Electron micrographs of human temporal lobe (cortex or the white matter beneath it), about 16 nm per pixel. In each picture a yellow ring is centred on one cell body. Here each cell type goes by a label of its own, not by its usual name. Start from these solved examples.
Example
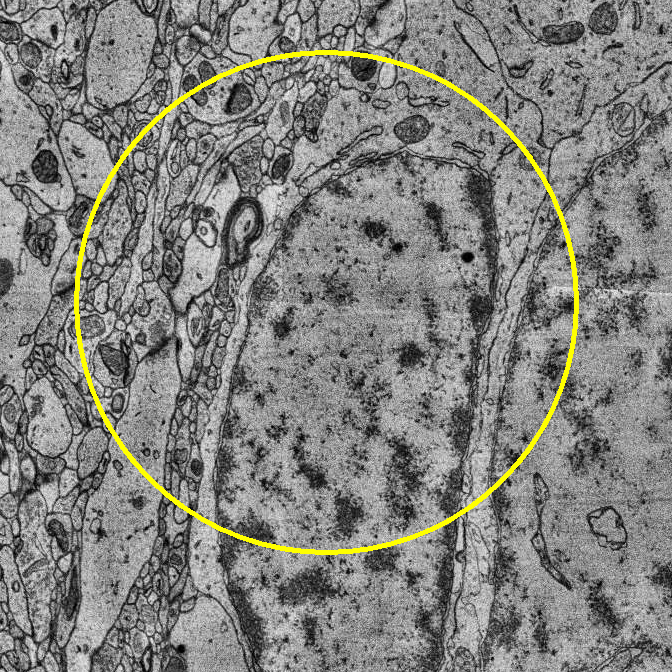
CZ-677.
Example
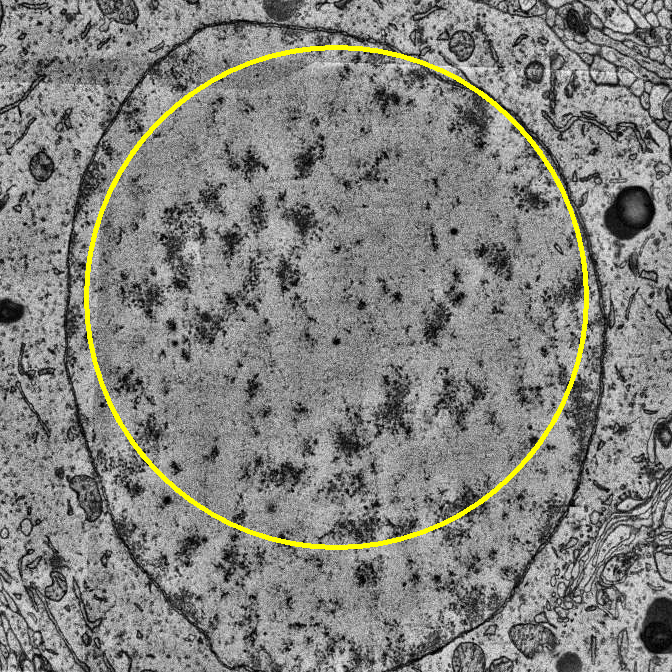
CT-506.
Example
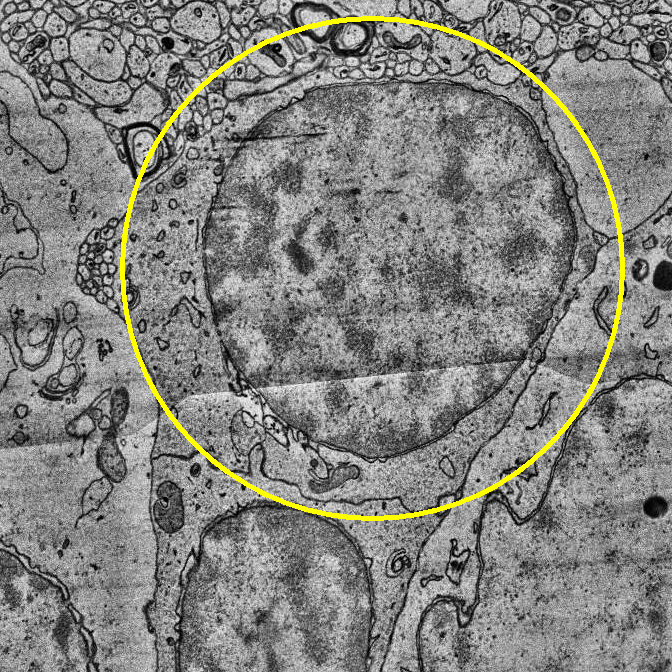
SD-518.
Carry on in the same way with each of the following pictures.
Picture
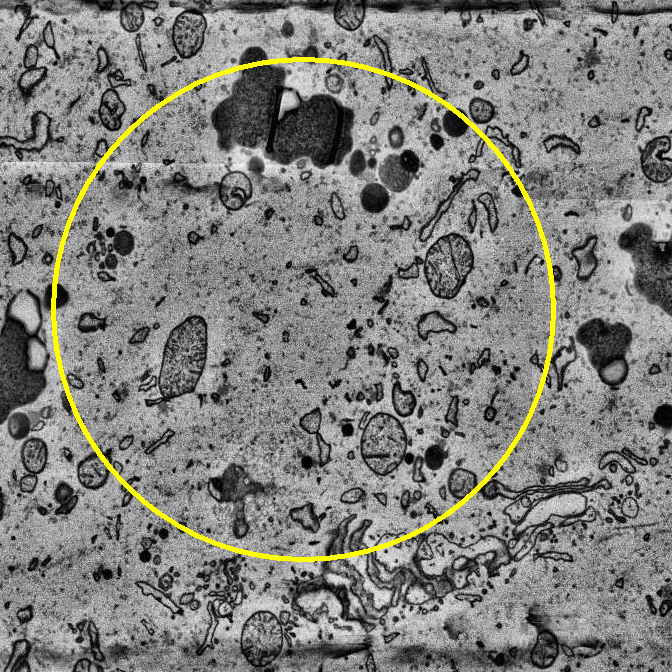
CT-506.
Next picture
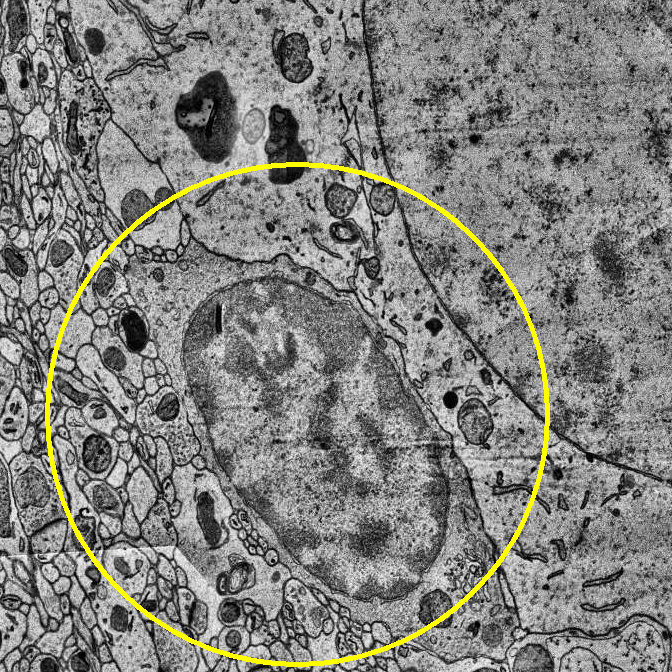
SD-518.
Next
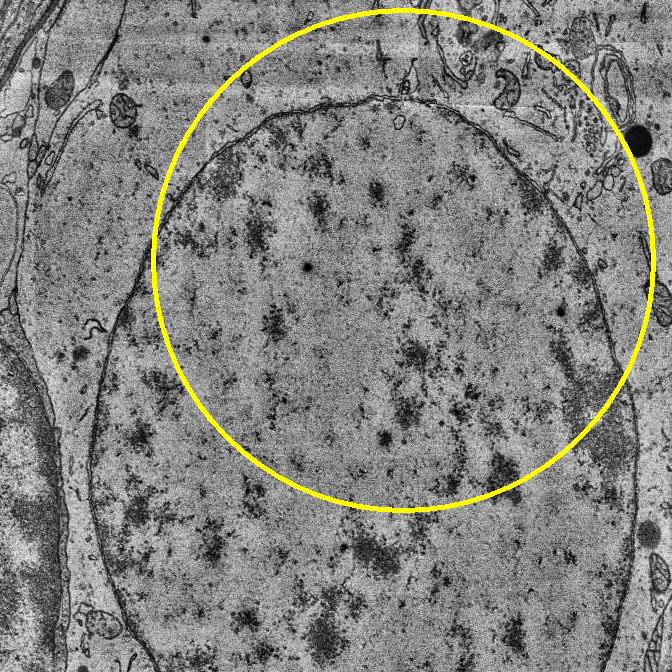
CT-506.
